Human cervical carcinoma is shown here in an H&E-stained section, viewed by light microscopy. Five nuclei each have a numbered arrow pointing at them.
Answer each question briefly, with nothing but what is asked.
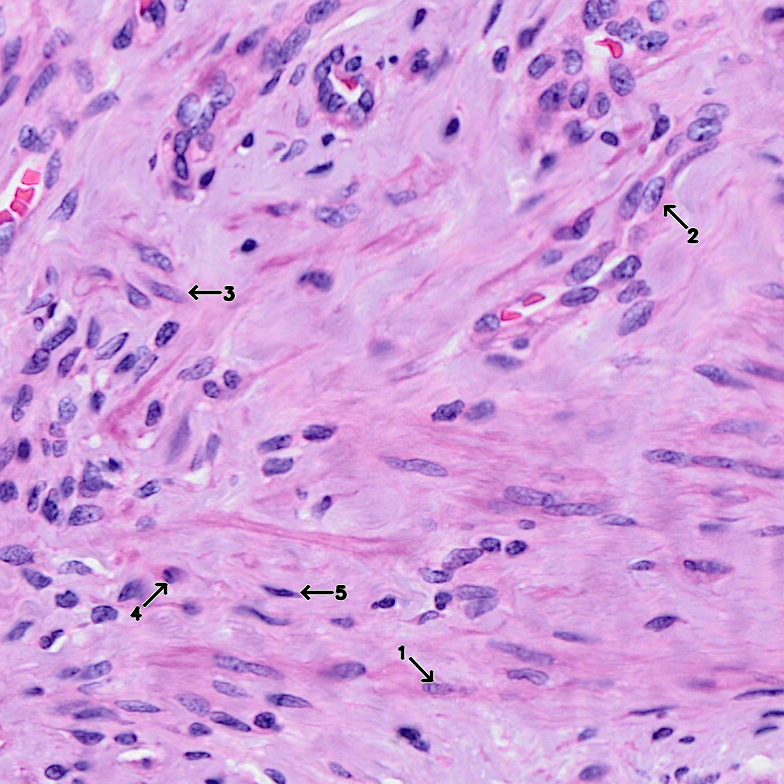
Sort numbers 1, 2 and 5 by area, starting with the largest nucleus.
2, 1, 5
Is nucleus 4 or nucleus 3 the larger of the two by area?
3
